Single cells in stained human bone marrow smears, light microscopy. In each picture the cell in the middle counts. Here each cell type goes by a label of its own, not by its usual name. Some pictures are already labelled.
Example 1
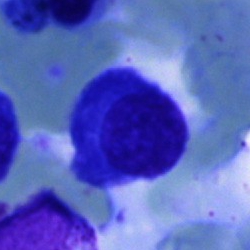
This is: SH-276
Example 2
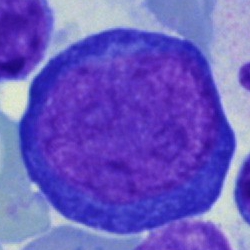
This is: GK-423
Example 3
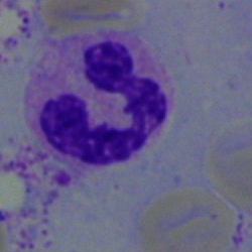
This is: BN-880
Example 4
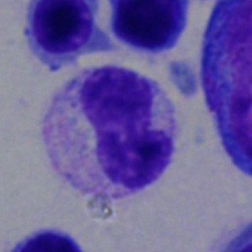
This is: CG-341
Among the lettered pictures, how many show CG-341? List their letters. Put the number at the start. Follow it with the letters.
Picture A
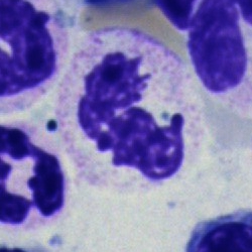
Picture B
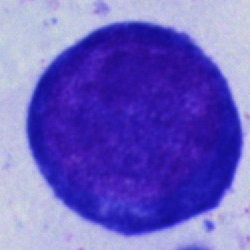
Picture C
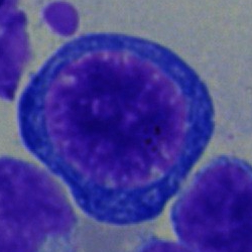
0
